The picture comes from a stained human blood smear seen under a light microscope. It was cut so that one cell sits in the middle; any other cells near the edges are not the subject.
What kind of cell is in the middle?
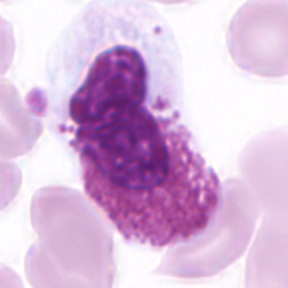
eosinophil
